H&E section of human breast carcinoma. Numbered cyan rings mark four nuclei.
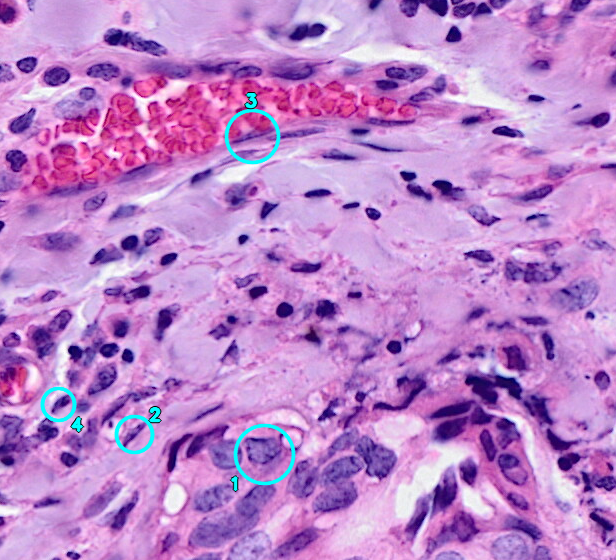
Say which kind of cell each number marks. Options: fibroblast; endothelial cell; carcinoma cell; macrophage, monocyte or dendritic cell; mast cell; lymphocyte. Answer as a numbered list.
1. carcinoma cell
2. fibroblast
3. endothelial cell
4. lymphocyte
